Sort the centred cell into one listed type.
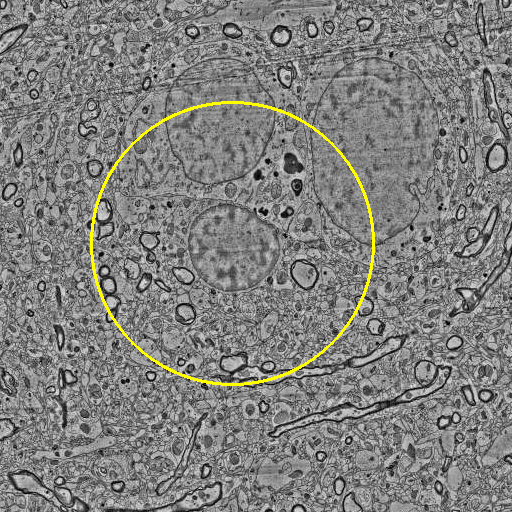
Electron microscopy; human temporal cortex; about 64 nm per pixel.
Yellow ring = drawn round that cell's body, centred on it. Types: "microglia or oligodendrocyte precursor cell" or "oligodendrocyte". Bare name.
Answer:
oligodendrocyte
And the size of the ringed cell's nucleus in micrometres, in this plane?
Roughly 6 micrometres across for the nucleus, in this plane.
